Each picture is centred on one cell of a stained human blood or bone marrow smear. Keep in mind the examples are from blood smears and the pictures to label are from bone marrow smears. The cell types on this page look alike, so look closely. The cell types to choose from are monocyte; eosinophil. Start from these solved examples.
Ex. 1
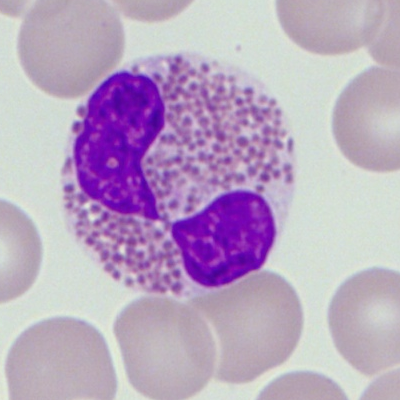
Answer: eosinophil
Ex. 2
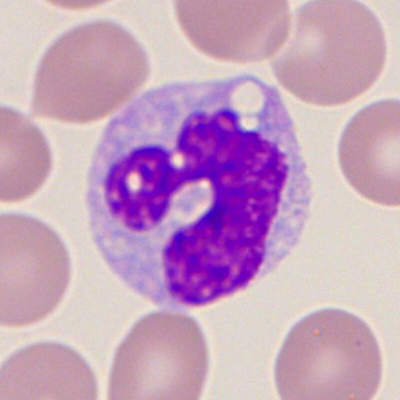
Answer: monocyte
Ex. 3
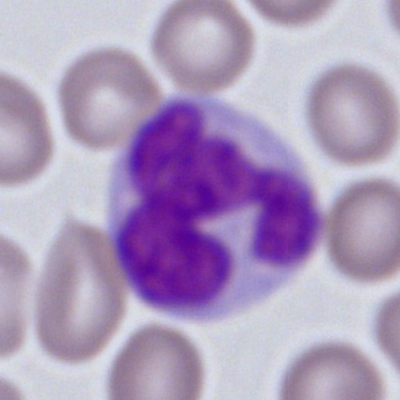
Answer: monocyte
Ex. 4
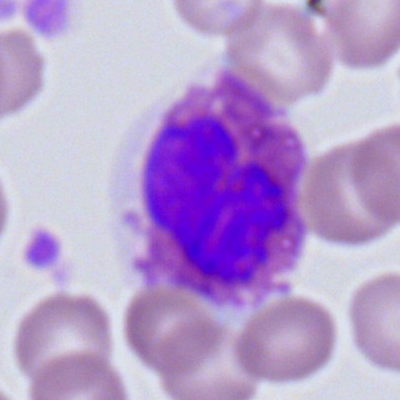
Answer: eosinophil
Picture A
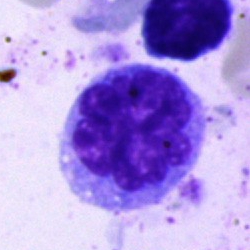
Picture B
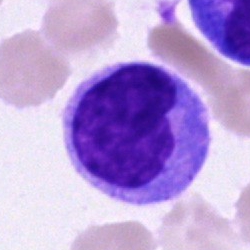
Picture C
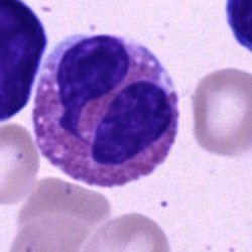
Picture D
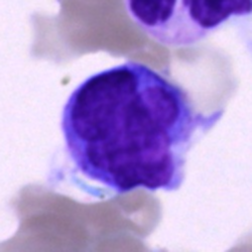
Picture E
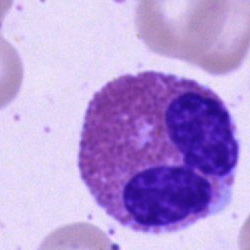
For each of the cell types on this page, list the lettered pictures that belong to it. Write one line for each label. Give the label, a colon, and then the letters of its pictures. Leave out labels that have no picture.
monocyte: A, B, D
eosinophil: C, E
